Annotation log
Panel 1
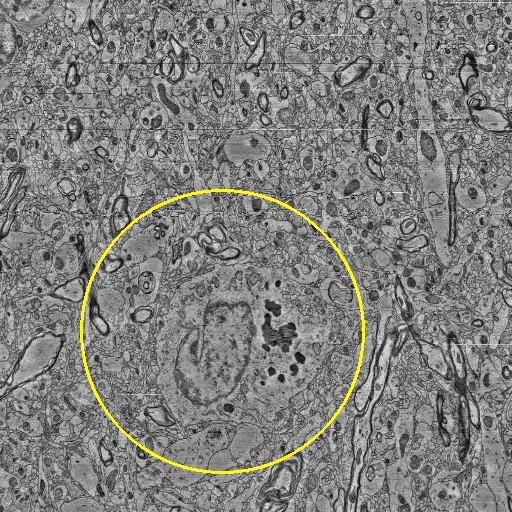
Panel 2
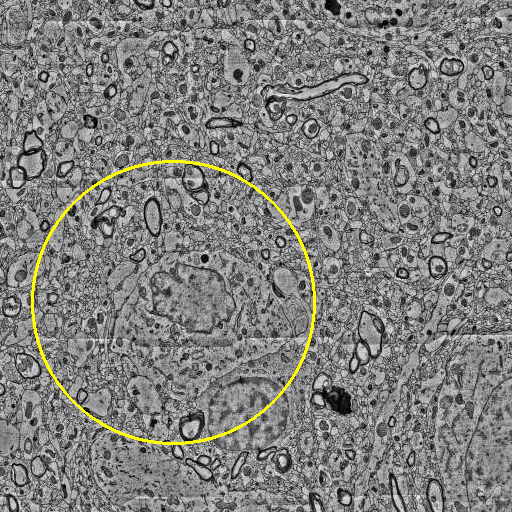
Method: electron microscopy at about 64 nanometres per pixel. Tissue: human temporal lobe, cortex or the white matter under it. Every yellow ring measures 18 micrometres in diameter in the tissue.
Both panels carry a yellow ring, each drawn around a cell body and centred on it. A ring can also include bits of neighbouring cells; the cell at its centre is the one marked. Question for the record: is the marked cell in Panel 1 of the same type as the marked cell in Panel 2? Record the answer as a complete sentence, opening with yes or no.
Yes, the marked cells in Panel 1 and Panel 2 are of the same type.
